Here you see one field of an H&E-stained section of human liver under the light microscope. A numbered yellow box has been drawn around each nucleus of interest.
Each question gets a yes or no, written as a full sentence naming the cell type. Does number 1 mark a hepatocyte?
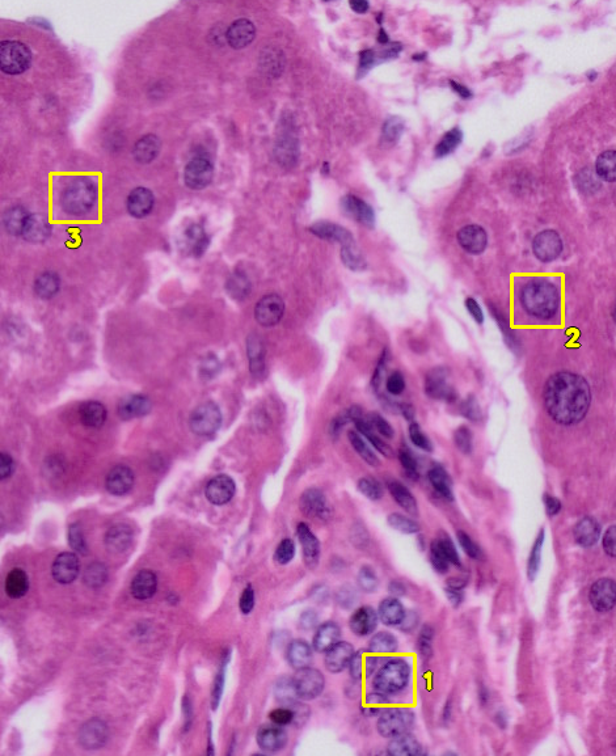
No, the cell bearing the number 1 is a cholangiocyte, not a hepatocyte.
